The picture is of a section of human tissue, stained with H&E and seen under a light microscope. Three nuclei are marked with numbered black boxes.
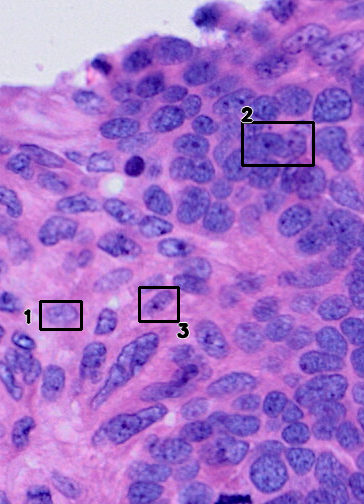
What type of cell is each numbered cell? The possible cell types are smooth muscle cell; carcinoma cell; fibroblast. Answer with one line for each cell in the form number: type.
1: fibroblast
2: carcinoma cell
3: fibroblast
